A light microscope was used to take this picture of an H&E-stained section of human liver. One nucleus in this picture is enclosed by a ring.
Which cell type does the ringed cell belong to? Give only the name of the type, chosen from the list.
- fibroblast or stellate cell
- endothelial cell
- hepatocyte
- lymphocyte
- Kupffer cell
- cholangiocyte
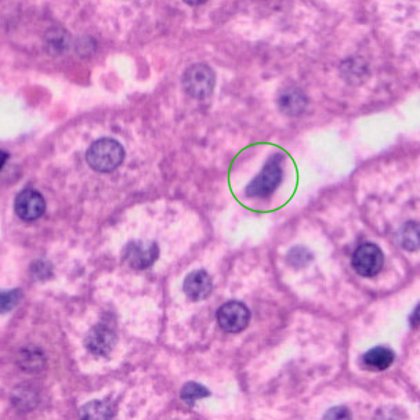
Kupffer cell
